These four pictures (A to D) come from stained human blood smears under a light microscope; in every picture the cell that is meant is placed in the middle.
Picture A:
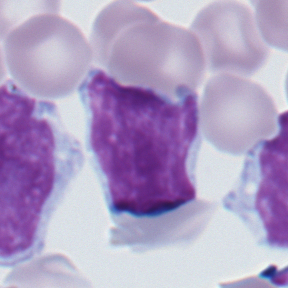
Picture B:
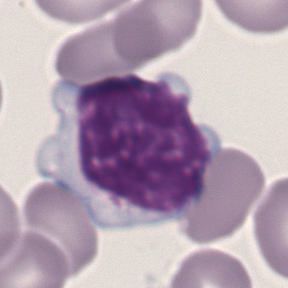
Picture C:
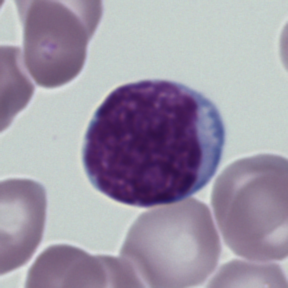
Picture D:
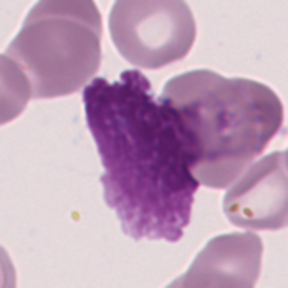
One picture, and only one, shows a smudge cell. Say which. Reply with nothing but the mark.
D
